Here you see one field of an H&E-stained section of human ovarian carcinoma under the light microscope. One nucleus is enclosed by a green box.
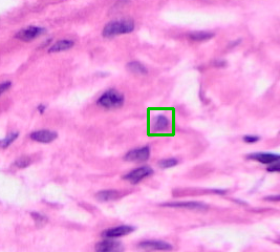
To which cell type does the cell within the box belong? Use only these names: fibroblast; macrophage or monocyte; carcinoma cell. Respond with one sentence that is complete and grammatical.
As for its identity, the cell within the box is a fibroblast.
